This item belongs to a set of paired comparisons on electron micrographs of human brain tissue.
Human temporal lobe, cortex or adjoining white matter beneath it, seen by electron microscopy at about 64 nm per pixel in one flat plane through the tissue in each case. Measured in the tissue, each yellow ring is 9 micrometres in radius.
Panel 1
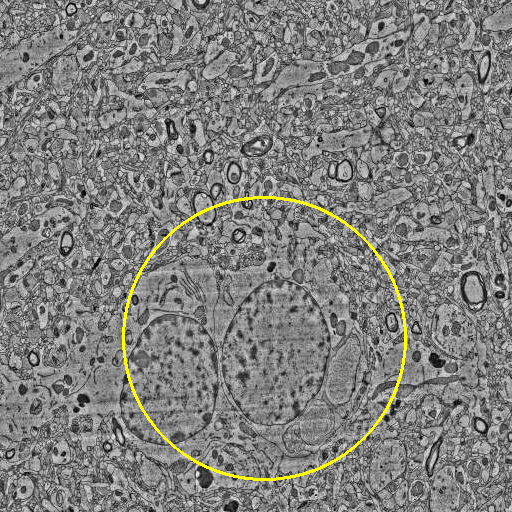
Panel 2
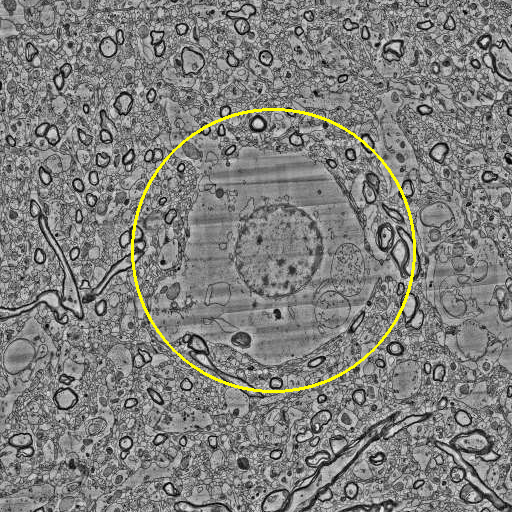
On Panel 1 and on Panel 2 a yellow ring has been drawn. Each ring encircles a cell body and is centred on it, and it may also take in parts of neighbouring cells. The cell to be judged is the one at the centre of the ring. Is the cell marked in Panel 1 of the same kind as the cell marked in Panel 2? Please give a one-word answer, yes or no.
yes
